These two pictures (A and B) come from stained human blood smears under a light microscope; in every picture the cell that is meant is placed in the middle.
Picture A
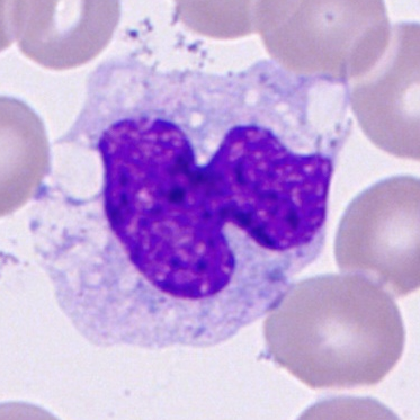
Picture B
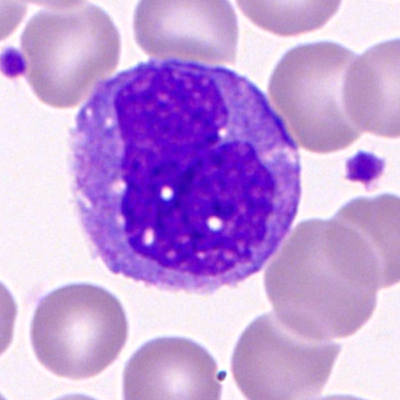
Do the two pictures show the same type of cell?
yes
